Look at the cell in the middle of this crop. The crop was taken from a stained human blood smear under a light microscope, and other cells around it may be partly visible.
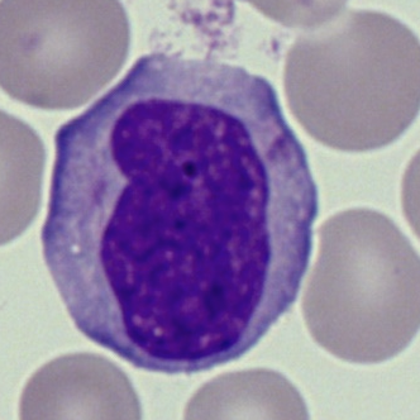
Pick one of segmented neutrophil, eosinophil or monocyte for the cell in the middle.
monocyte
